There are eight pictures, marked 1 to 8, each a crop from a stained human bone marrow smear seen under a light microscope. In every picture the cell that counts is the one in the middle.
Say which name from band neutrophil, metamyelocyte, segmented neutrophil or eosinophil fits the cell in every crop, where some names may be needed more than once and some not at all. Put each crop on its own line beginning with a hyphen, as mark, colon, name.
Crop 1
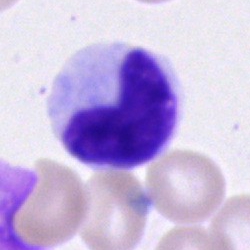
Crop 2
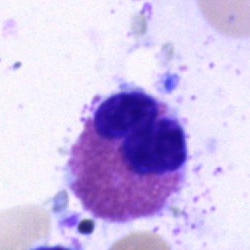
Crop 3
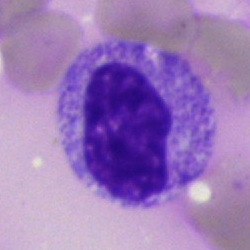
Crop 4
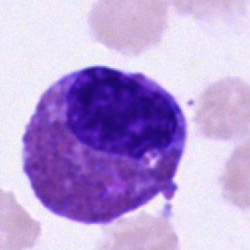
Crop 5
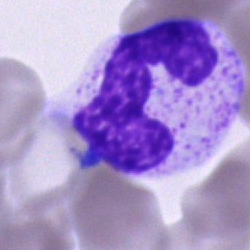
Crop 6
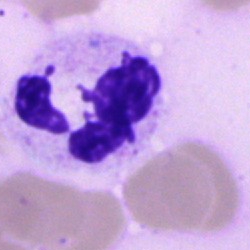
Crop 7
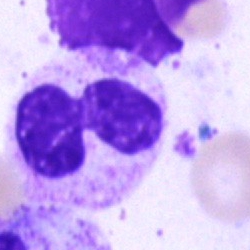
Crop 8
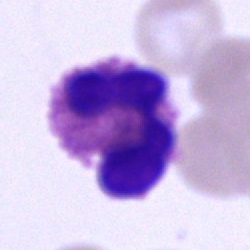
- 1: metamyelocyte
- 2: eosinophil
- 3: metamyelocyte
- 4: eosinophil
- 5: band neutrophil
- 6: segmented neutrophil
- 7: segmented neutrophil
- 8: eosinophil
